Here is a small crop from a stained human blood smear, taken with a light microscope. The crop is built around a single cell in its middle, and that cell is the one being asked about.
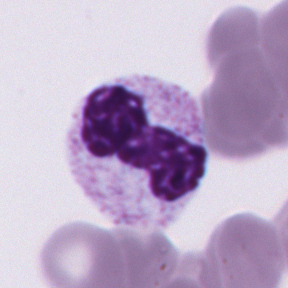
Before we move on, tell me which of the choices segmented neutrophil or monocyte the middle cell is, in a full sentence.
Answering briefly, the cell in the middle is a segmented neutrophil.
